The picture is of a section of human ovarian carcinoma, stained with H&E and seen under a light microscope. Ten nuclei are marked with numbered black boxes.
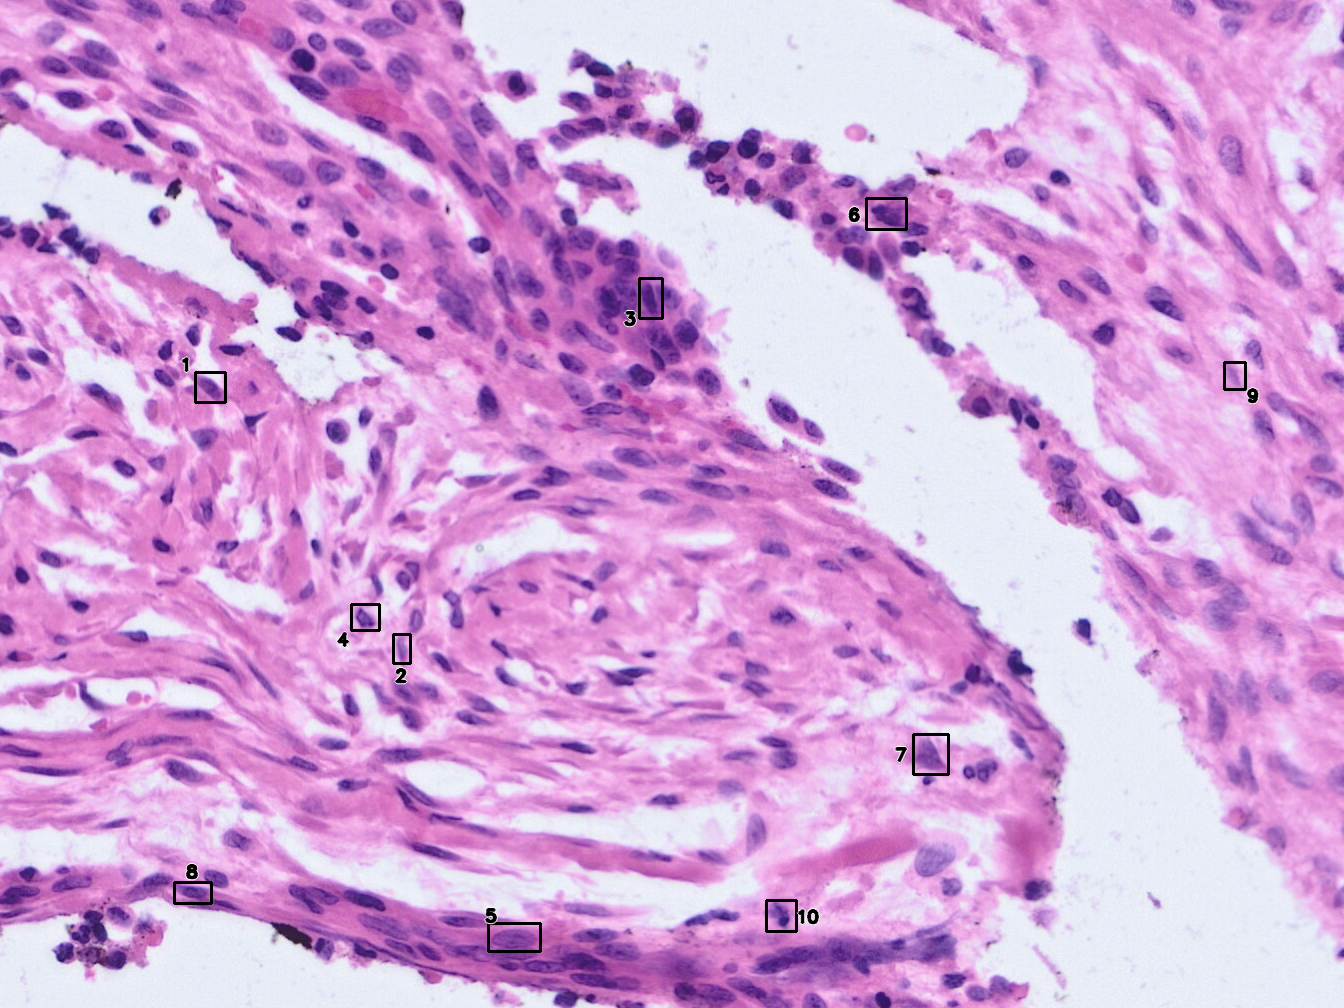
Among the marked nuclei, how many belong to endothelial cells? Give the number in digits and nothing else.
1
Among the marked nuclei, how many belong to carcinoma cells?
2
